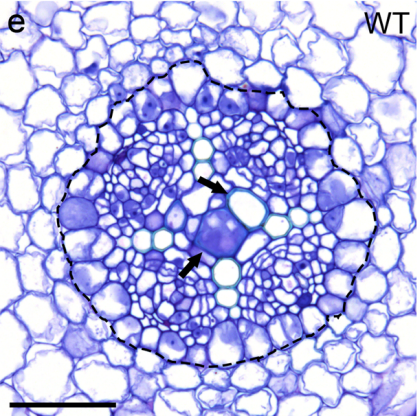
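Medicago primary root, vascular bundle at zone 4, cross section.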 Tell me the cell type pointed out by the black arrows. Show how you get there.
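The arrows point to the largest cells at the centre of the vascular cylinder. These cells have thick walls stained blue-green, unlike the purple walls around them.
Answer: lignified metaxylem cells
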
